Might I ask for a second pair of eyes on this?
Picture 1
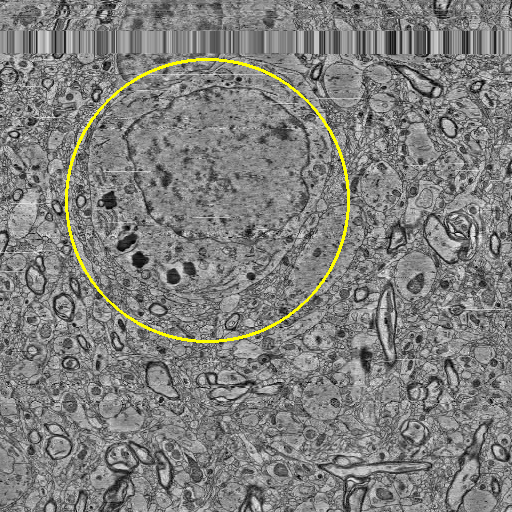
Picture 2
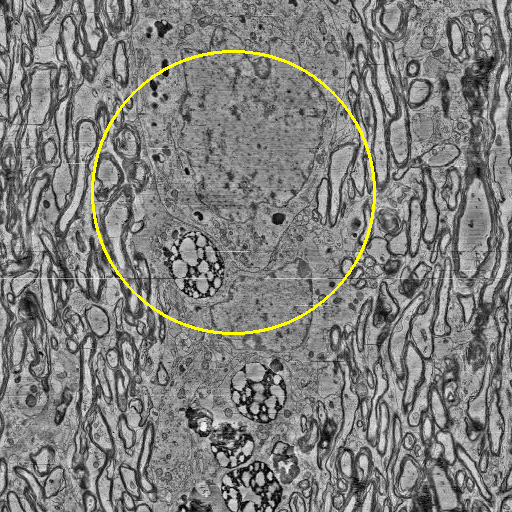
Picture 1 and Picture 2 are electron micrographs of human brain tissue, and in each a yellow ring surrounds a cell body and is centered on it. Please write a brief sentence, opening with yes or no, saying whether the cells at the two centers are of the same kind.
Yes, the cells are of the same kind.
